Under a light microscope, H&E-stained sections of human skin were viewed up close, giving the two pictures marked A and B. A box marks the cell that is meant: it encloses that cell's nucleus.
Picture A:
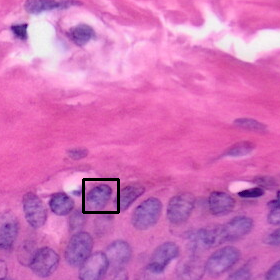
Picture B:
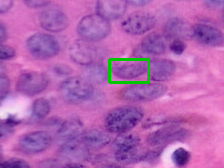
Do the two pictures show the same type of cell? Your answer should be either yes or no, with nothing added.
yes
